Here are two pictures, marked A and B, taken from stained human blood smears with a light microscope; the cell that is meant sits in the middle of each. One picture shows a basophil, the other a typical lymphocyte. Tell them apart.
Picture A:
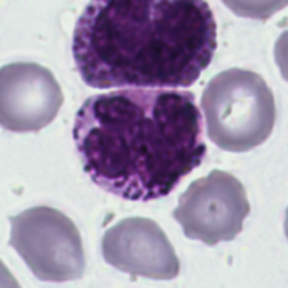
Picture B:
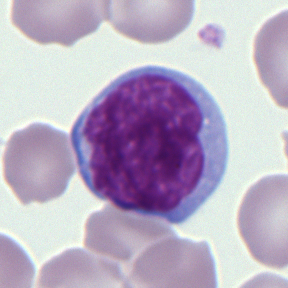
A: basophil
B: typical lymphocyte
